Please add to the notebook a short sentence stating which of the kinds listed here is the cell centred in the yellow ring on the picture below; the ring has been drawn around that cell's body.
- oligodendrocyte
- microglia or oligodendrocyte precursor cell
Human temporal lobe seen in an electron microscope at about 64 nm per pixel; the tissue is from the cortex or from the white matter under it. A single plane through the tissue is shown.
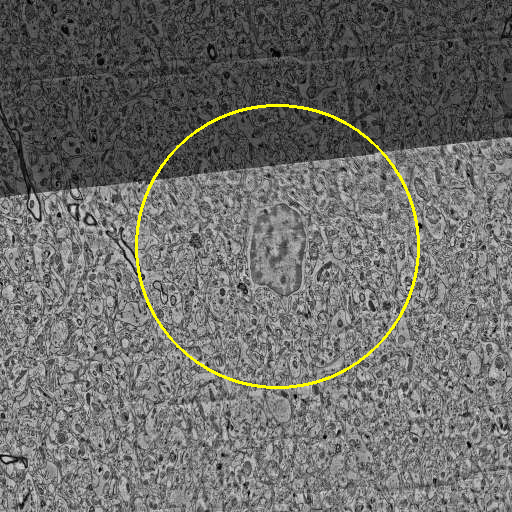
The cell centred in the yellow ring is a microglial cell or oligodendrocyte precursor cell.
